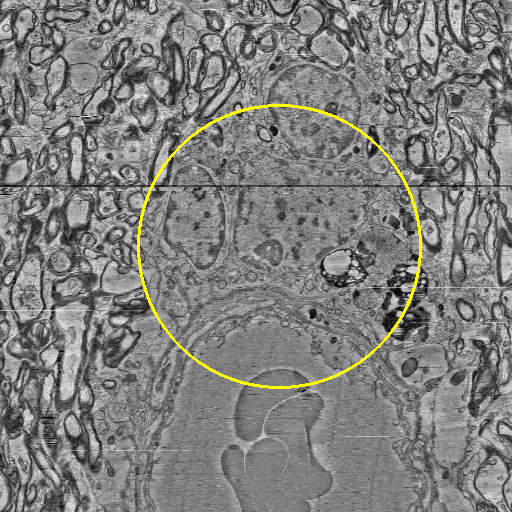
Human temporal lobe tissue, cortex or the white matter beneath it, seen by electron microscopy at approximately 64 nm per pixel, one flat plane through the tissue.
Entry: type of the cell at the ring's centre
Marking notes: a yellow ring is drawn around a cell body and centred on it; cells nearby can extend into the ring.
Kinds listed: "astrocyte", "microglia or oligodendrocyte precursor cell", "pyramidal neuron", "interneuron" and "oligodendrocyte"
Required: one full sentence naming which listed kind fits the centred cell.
My entry names an astrocyte as the cell whose body the yellow ring centres on.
